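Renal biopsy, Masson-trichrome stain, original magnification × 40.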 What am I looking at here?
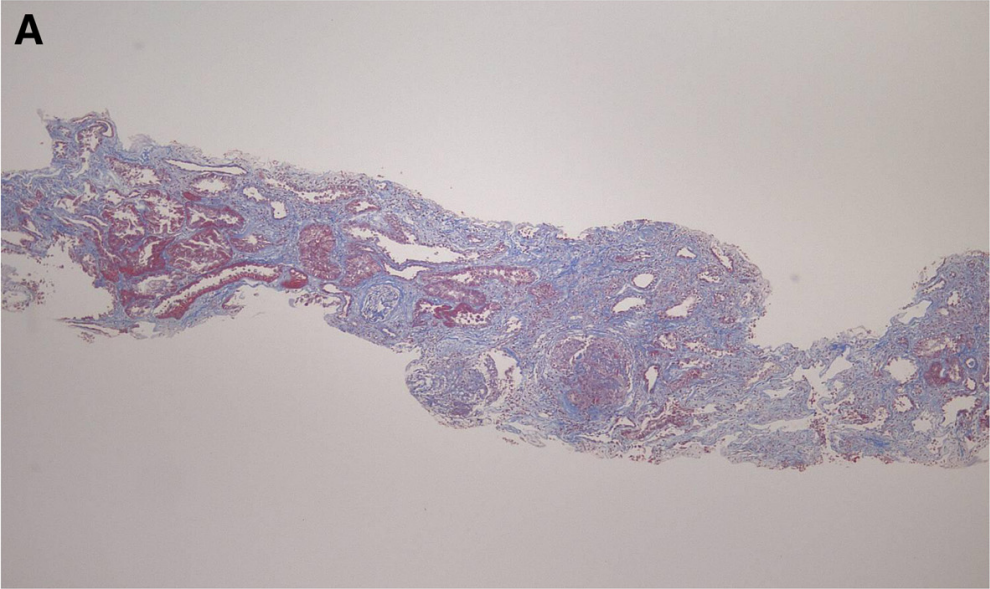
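Many tubules appear small and separated by broad bands of blue fibrous tissue. Scattered tubules are dilated into open, empty spaces of varying size. Red-staining clusters of tubular epithelium and glomeruli lie embedded in the fibrous background along the length of the core.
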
